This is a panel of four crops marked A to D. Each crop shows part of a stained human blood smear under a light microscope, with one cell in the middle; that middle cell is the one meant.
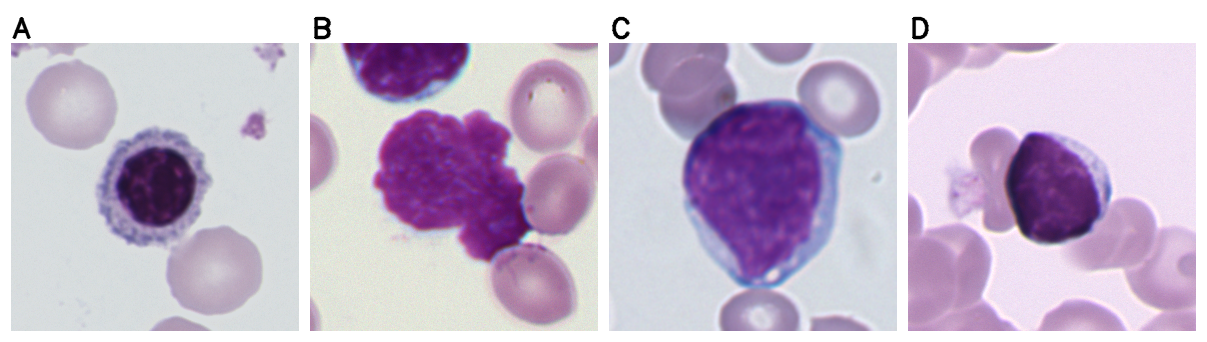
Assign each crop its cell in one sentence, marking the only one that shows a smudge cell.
In the case of crop B, the cell is a smudge cell, while crop A is a normoblast, crop C is a myeloblast and crop D is a typical lymphocyte.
